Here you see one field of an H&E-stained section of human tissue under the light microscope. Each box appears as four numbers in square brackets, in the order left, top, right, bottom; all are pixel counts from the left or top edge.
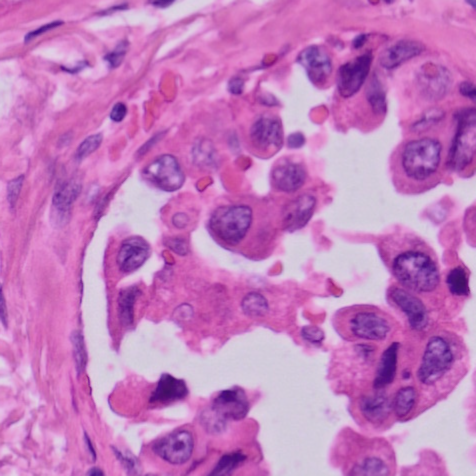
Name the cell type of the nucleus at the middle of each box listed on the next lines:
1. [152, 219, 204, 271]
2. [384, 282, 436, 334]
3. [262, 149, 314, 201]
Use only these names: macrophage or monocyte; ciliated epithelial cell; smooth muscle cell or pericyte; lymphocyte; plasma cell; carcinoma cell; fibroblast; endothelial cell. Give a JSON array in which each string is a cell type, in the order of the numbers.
["macrophage or monocyte", "carcinoma cell", "carcinoma cell"]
